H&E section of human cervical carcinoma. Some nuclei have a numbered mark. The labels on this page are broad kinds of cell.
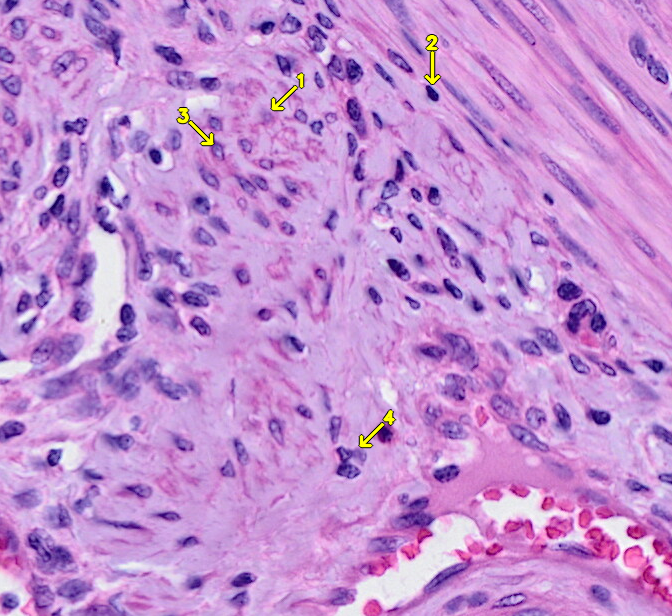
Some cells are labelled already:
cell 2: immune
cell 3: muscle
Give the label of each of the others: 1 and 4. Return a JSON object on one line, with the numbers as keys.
{"1": "muscle", "4": "immune"}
